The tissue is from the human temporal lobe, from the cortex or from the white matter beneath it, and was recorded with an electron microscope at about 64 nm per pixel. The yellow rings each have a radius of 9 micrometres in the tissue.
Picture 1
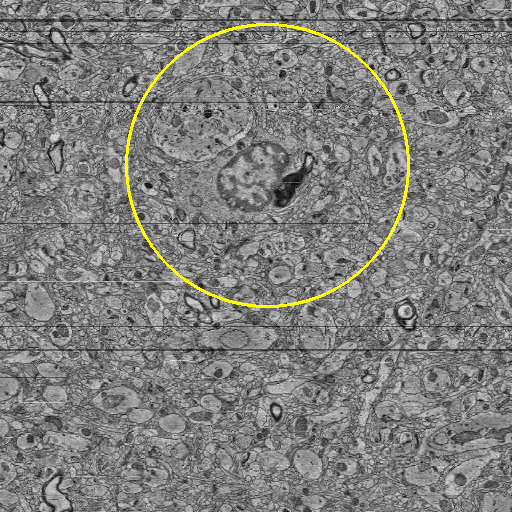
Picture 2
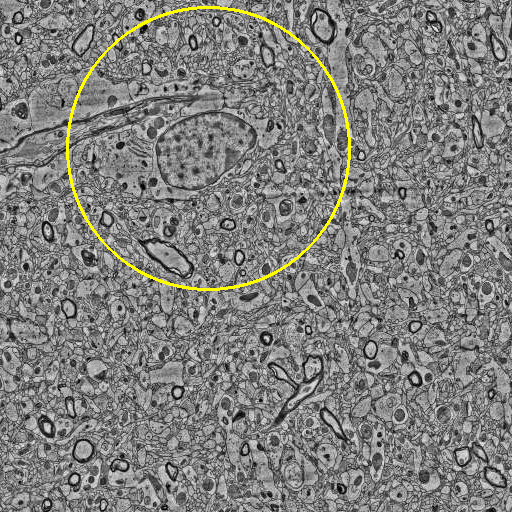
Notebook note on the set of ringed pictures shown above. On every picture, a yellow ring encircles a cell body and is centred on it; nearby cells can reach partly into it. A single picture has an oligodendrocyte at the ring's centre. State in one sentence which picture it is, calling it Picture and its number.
Picture 1 is the one whose ring is centred on the sought cell.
